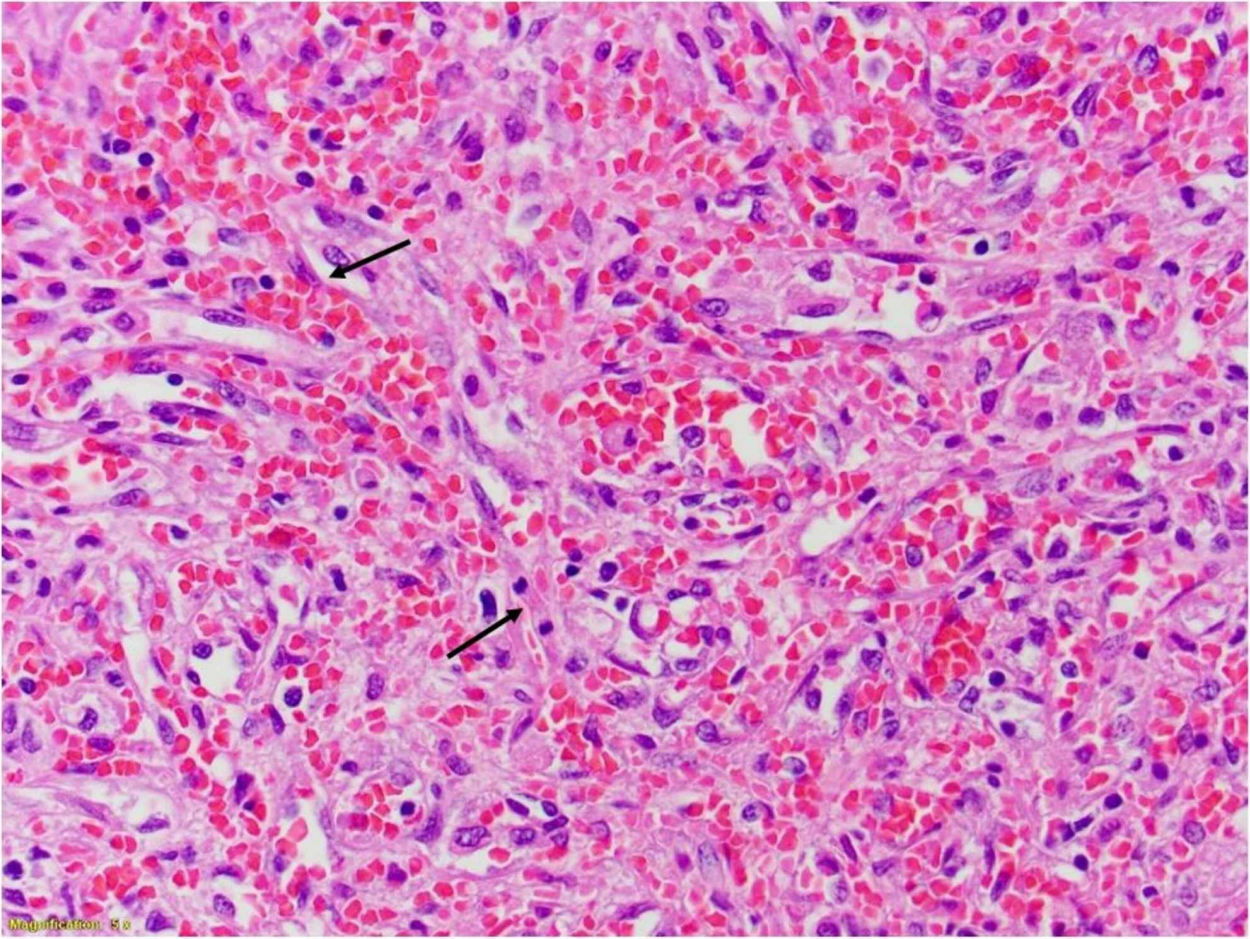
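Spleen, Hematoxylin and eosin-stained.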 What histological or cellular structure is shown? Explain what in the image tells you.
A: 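Anastomosing vascular channels. Irregular, interconnecting slit-like and rounded spaces run through the tissue. Many of the spaces are filled with red blood cells. The spaces are lined by cells with elongated dark nuclei.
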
